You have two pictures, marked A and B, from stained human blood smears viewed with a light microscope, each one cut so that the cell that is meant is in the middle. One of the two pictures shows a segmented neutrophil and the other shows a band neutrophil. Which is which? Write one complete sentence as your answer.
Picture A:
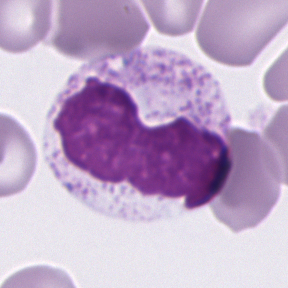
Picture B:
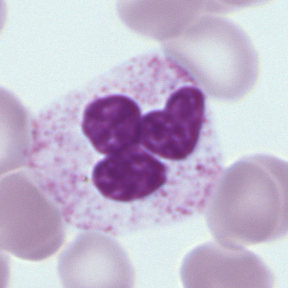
Picture A is of a band neutrophil, and picture B is of a segmented neutrophil.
